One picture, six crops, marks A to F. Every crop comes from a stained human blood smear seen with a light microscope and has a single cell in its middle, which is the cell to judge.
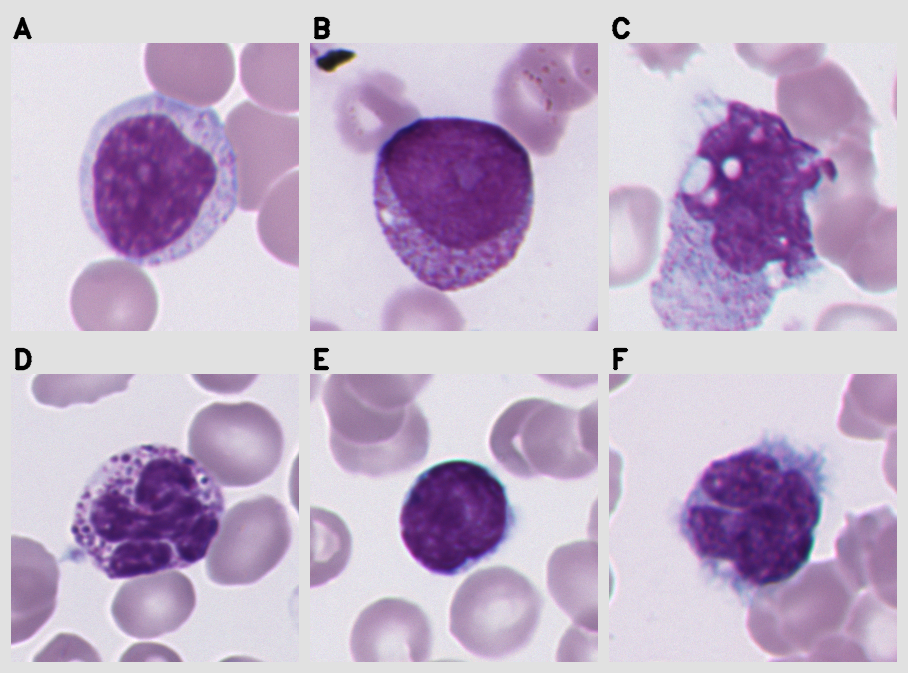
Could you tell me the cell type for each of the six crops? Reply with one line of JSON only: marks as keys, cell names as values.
{"A": "large granular lymphocyte", "B": "myelocyte", "C": "monocyte", "D": "basophil", "E": "typical lymphocyte", "F": "monocyte"}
